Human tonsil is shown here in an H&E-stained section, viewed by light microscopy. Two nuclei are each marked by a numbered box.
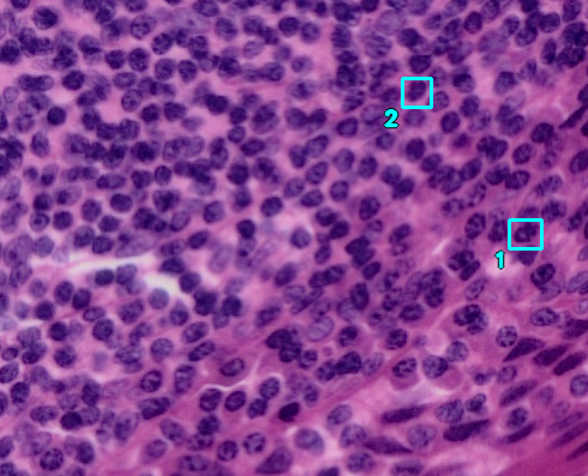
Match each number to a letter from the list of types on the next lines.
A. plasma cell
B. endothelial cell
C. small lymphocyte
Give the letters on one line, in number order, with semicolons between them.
A; C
